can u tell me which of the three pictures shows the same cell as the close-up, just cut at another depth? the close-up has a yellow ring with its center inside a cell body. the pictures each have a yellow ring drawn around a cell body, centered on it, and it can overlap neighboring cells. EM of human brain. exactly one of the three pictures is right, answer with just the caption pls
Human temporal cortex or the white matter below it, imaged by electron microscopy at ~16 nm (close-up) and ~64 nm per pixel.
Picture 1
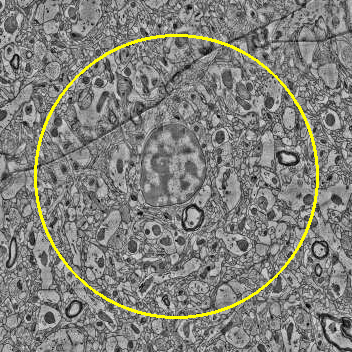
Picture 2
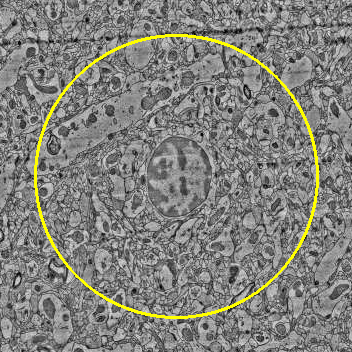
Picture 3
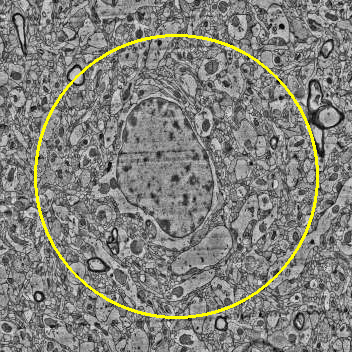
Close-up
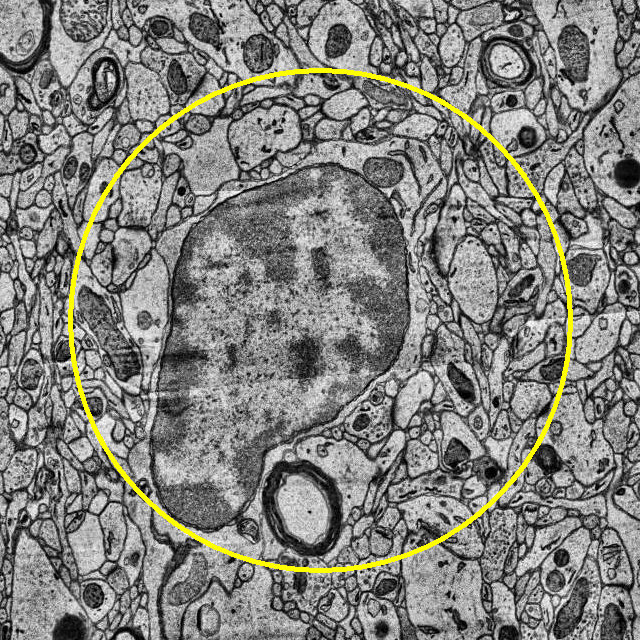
Picture 1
